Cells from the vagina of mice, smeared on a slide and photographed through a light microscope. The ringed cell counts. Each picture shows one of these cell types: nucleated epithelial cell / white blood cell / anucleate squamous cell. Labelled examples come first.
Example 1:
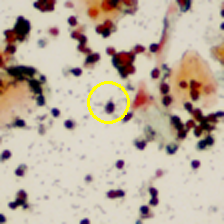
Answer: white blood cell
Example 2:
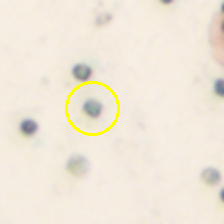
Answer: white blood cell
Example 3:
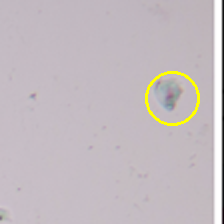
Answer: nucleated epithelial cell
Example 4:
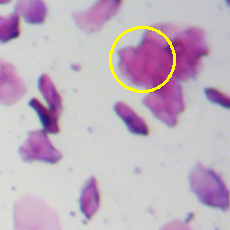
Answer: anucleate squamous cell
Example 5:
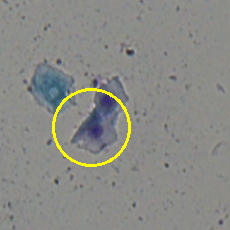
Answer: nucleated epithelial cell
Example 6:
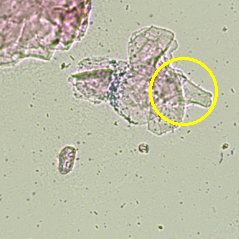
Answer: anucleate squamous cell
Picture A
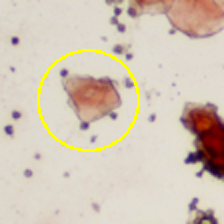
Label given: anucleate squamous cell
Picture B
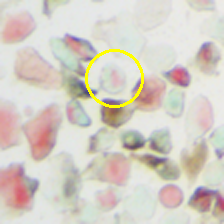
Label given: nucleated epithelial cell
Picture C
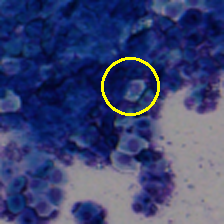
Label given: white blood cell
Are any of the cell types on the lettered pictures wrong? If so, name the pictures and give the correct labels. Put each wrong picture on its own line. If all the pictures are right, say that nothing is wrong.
C: change white blood cell to nucleated epithelial cell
